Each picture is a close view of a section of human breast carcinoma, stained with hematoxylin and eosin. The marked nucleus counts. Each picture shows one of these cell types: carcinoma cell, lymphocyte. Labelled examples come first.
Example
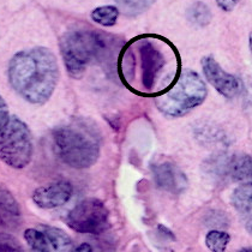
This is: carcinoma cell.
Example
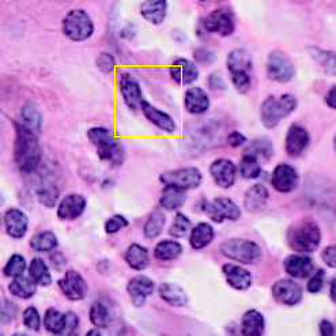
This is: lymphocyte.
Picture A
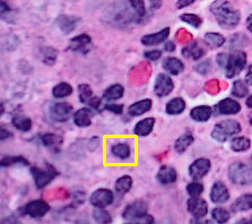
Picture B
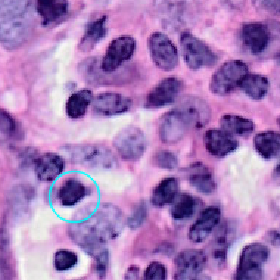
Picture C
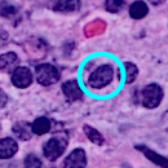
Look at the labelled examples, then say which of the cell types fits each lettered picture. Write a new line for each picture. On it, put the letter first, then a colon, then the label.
A: lymphocyte.
B: lymphocyte.
C: lymphocyte.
